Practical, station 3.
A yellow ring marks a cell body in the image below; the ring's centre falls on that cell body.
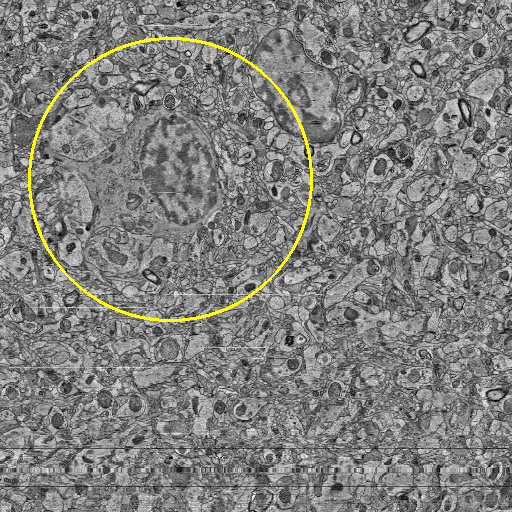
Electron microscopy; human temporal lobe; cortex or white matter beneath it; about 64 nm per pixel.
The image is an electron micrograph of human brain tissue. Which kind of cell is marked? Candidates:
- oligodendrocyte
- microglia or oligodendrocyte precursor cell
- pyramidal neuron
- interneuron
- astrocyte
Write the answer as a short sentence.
The marked cell body is that of an oligodendrocyte.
